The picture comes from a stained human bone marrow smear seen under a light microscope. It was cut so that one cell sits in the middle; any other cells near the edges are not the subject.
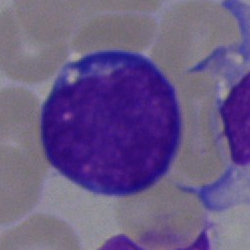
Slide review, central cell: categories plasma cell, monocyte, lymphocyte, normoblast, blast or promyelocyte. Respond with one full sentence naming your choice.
The crop centres on a single cell, and that cell is a blast.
